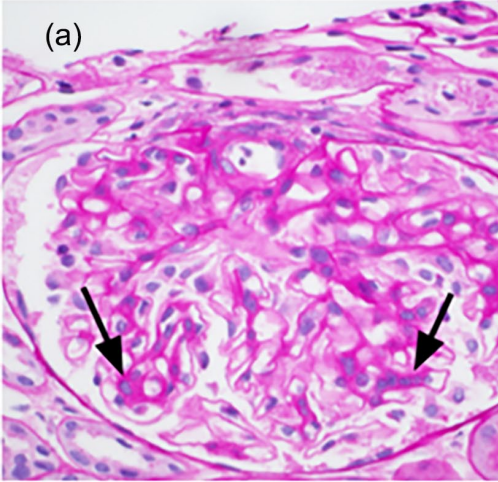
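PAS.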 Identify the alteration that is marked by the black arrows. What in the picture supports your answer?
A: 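The arrows point to areas within the tuft where several nuclei are crowded together. Magenta-staining matrix is widened around these nuclei in the central stalks of the tuft.
Mesangial hypercellularity and matrix expansion.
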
